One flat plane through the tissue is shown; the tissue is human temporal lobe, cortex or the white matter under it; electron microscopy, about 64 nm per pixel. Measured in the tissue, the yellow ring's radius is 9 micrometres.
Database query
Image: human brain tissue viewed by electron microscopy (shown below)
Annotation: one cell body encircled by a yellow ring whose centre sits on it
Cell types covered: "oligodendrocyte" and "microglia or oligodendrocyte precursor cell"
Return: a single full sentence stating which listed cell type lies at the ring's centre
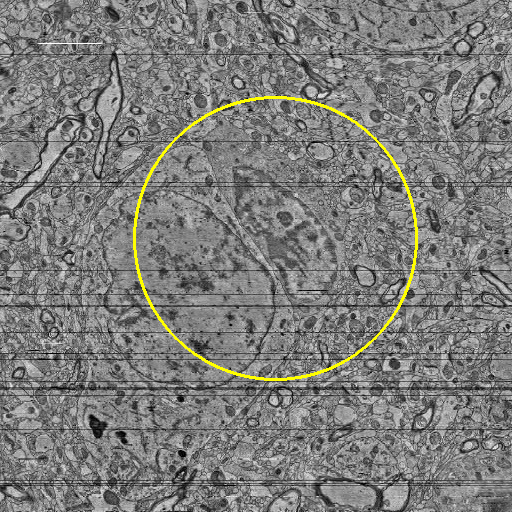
In the image, the cell lying at the ring's centre is an oligodendrocyte.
